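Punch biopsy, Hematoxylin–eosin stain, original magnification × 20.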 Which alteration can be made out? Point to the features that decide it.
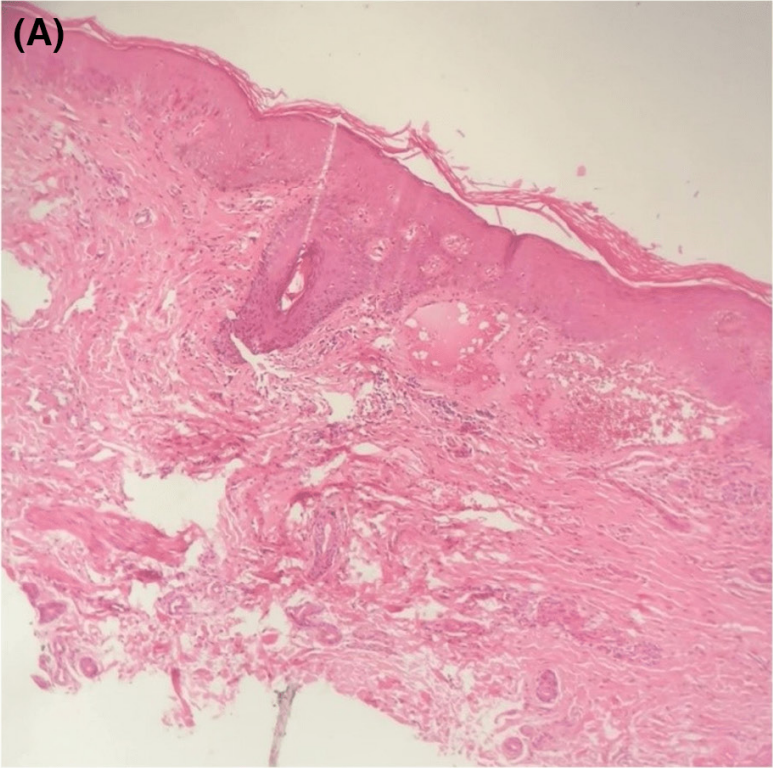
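The epidermis is a thick band of many layers of squamous cells.
Hence: epidermal acanthosis.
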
